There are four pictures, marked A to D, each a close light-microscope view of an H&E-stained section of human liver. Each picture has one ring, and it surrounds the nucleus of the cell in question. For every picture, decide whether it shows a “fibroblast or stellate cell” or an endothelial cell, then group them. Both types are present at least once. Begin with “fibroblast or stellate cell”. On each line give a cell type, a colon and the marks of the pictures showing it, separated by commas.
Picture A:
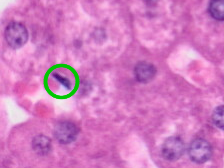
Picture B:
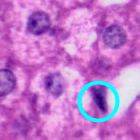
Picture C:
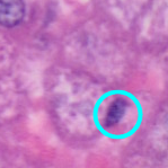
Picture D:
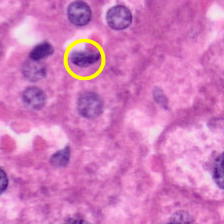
fibroblast or stellate cell: C
endothelial cell: A, B, D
